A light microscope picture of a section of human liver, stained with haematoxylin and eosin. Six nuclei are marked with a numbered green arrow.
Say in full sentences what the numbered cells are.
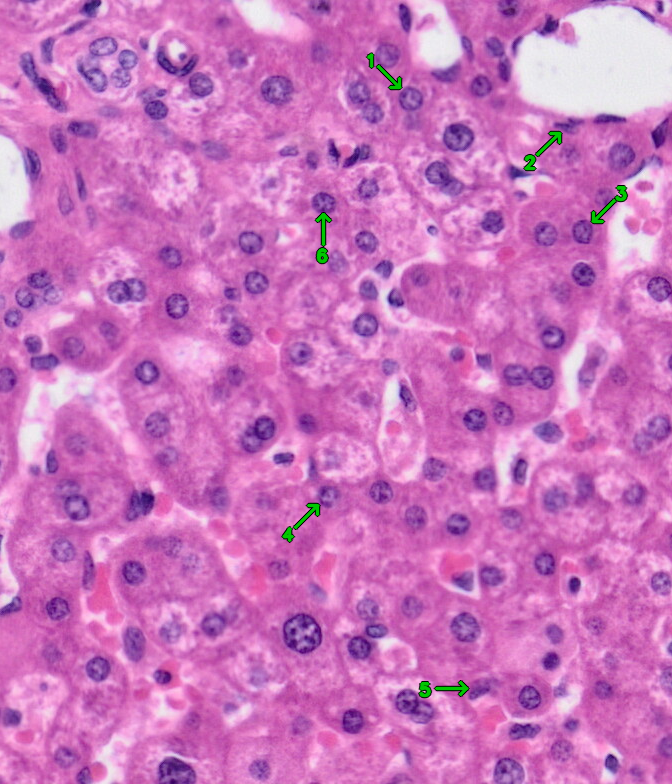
Cells 1, 3, 4 and 6 are hepatocytes. Cell 2 is a fibroblast or stellate cell. Cell 5 is an endothelial cell.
